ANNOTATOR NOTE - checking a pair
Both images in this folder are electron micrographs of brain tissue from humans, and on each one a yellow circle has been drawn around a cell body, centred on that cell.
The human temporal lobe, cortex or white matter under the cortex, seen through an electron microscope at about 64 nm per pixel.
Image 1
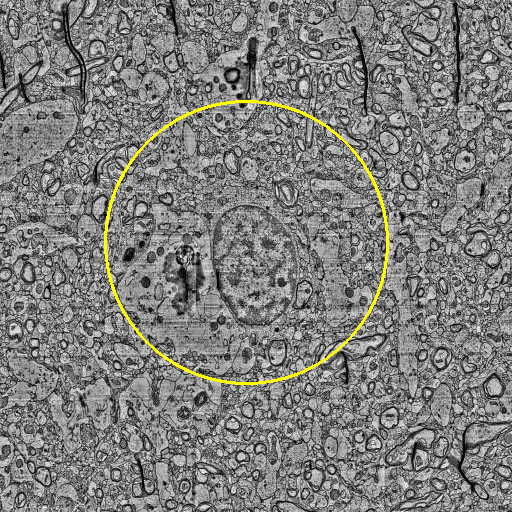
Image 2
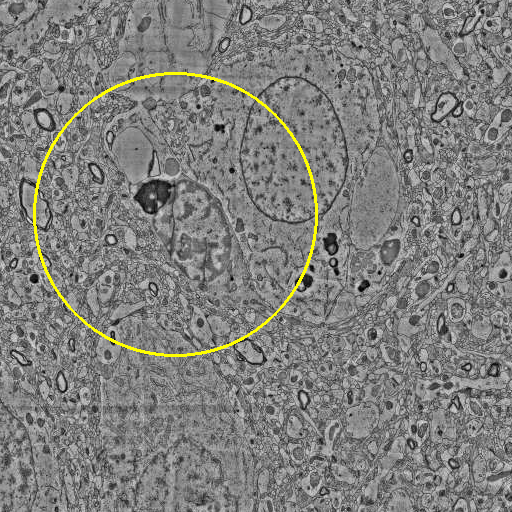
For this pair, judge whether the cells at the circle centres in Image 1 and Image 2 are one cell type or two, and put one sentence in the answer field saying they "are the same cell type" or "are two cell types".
For this pair, the cells at the circle centres in Images 1 and 2 are the same cell type.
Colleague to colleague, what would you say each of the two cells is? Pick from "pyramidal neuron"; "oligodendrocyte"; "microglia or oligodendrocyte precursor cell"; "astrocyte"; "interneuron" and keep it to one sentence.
Both pictures show an oligodendrocyte at the centre of the ring.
